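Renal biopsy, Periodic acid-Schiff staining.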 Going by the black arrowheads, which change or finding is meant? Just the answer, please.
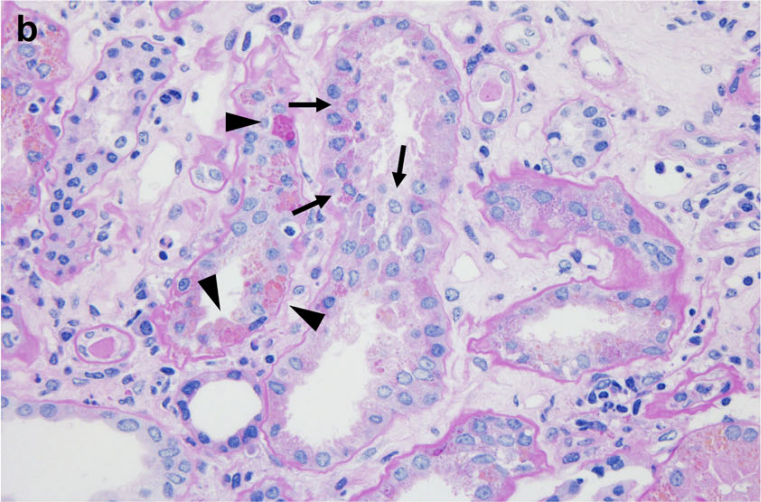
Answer: coagulative necrosis of the tubular epithelium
